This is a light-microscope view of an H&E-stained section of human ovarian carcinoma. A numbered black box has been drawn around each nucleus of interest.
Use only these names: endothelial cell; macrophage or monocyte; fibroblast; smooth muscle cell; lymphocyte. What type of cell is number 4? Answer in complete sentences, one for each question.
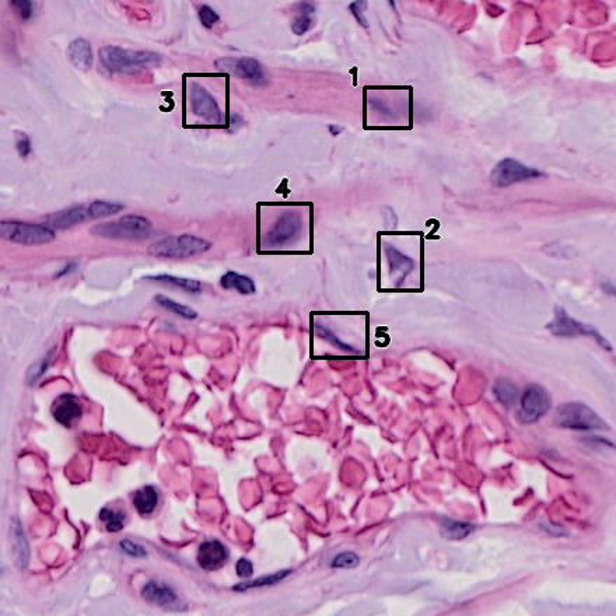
The cell indicated by marker 4 is a smooth muscle cell in this section.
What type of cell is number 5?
The nucleus labelled 5 belongs to an endothelial cell.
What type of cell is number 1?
Regarding cell 1, this one is a smooth muscle cell.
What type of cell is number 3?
Cell 3, as marked in the section, is an endothelial cell.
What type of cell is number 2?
The cell that is numbered 2 is a fibroblast.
